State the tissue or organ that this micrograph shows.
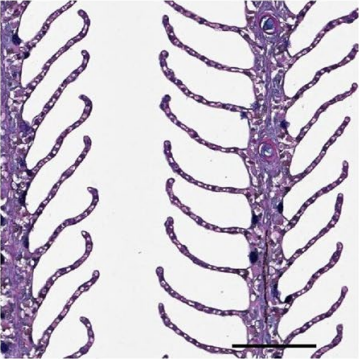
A: Gills.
